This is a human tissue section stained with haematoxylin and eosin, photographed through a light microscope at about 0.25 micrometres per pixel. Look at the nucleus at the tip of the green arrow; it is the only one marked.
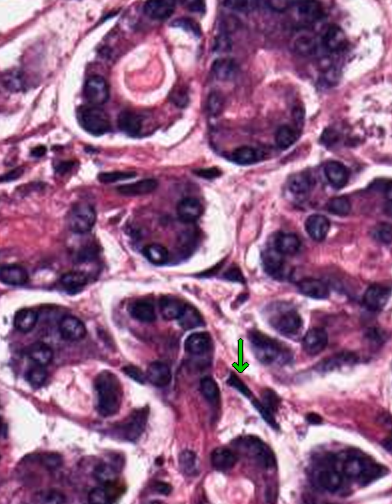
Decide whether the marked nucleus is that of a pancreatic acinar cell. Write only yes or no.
no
